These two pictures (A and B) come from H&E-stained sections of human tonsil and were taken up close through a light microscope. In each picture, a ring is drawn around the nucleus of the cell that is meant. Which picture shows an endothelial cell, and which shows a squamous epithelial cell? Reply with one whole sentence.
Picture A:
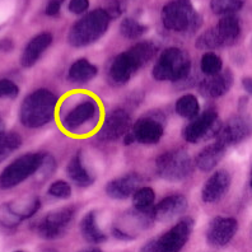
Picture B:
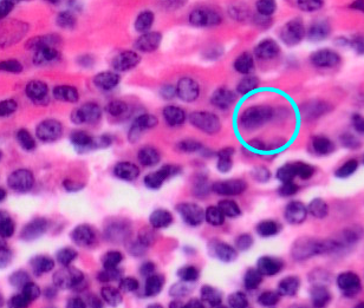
The cell in picture A is a squamous epithelial cell, and the one in picture B is an endothelial cell.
